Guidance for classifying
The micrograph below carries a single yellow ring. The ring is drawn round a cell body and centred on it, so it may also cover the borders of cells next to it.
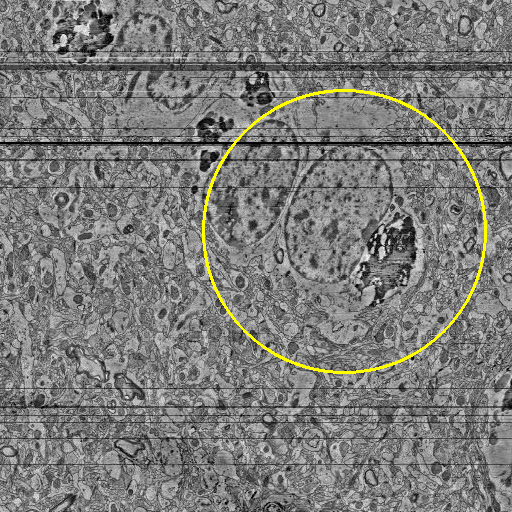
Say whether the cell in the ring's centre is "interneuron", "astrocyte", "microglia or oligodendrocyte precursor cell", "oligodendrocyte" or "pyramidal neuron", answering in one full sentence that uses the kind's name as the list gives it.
Within the yellow ring, an astrocyte is the cell whose body sits at the centre.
